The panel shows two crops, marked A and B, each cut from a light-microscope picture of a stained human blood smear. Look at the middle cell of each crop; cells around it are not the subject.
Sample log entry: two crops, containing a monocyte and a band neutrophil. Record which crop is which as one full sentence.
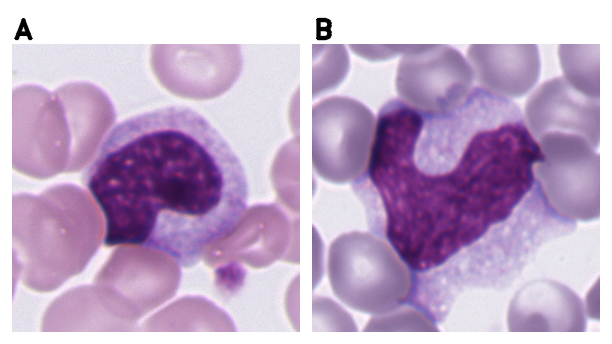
For crop A the cell is a band neutrophil, and for crop B it is a monocyte.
